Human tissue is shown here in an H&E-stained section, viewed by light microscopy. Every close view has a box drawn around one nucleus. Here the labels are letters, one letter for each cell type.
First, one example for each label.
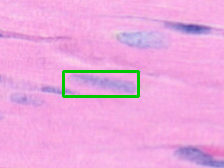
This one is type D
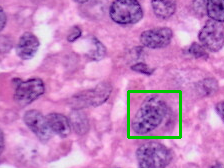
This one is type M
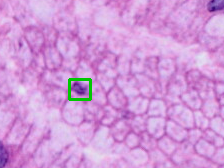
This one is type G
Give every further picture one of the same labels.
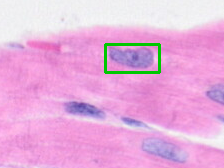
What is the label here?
type D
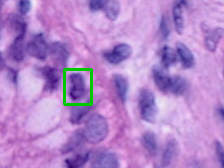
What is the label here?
type G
